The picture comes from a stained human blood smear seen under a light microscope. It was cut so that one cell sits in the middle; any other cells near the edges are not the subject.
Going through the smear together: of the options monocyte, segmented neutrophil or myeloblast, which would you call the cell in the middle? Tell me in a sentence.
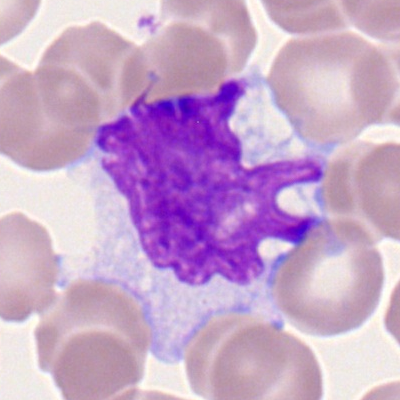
The cell nearest the centre of this crop is a monocyte.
